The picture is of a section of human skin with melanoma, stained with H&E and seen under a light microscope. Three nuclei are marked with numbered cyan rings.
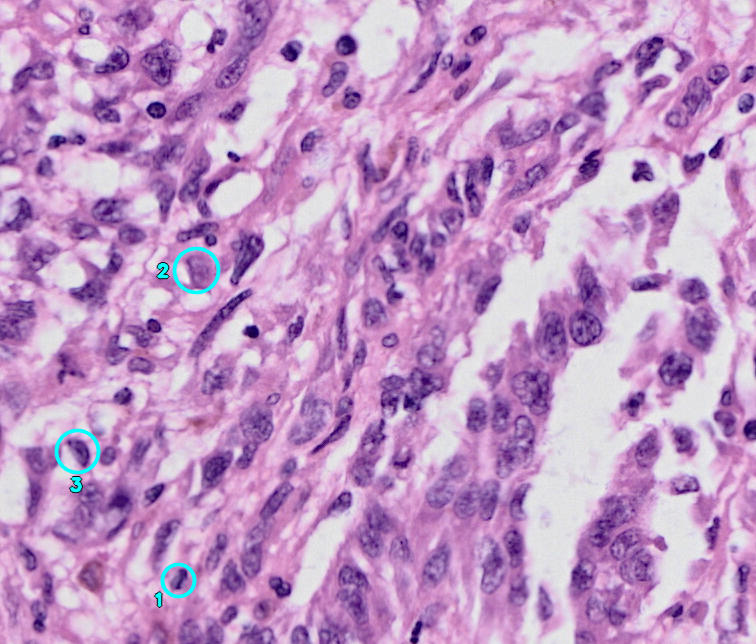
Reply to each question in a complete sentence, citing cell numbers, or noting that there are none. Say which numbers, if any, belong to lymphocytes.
The cell labelled 1 is a lymphocyte, while the remaining numbered cells are not.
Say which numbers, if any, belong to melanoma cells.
Unlike the other numbered cells, cell 2 is a melanoma cell.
